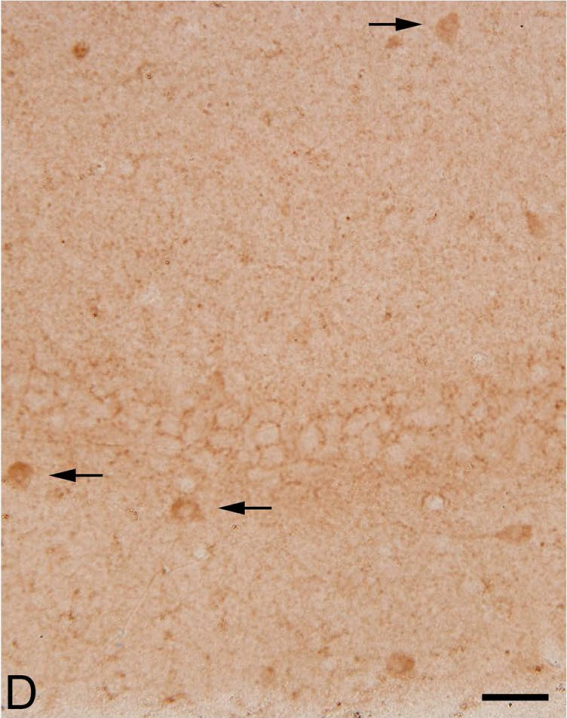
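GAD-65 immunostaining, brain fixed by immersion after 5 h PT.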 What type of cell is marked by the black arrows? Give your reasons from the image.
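Neurons. The arrows point at rounded brown-stained cell bodies. The marked cell bodies are darker than the surrounding neuropil. Some marked cells lie beside a band of pale unstained round somata.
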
